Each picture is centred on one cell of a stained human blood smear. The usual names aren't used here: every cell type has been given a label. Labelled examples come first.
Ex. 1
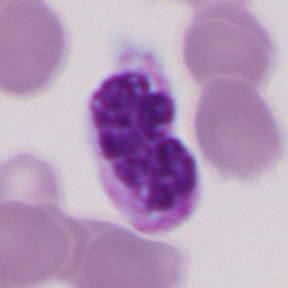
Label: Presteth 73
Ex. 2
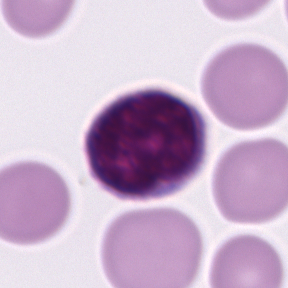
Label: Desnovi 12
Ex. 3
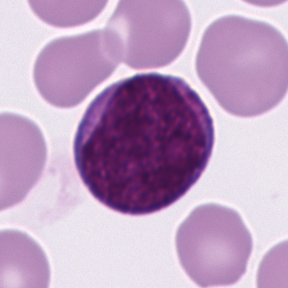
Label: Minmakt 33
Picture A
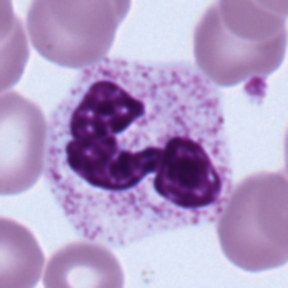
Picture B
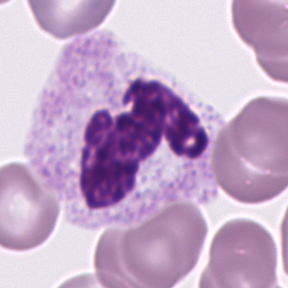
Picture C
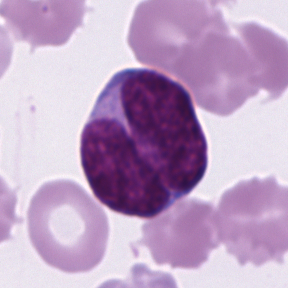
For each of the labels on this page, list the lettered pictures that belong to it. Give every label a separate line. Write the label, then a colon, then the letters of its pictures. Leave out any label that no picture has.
Presteth 73: A, B
Minmakt 33: C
